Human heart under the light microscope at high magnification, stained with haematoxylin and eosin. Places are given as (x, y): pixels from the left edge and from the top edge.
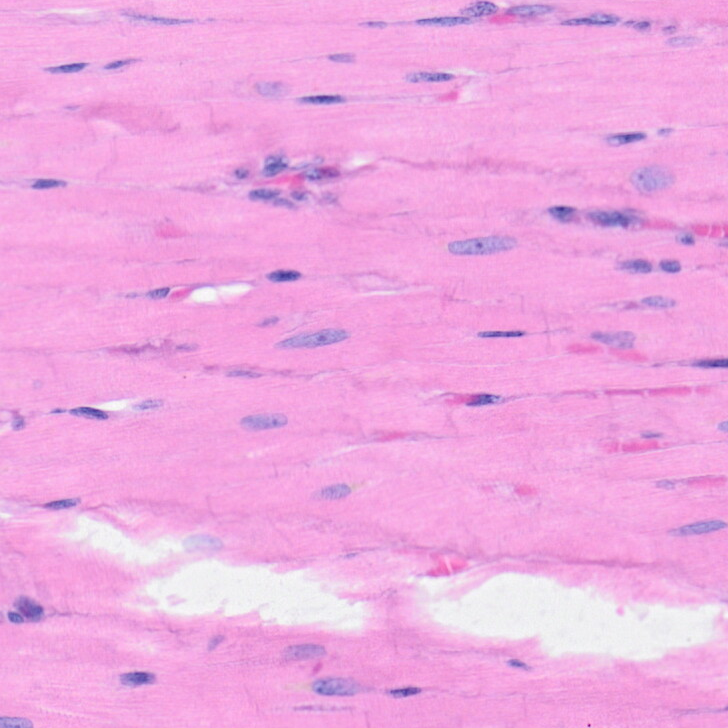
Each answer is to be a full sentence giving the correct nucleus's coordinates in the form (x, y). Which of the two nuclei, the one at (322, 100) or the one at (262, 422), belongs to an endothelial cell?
So, of the two, the nucleus at (322, 100) is the one belonging to an endothelial cell.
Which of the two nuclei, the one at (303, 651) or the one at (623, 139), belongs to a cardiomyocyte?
The one nucleus of the two that belongs to a cardiomyocyte is at (303, 651).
